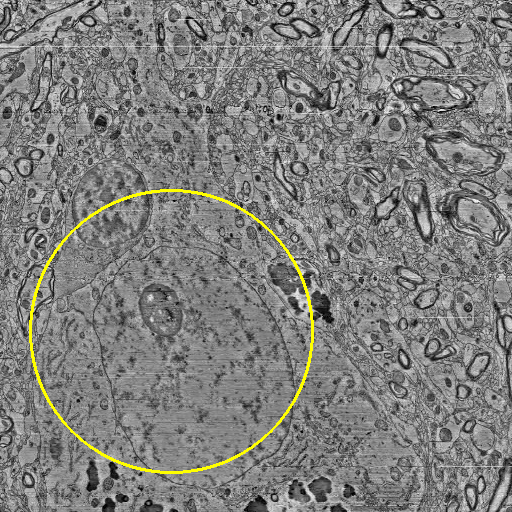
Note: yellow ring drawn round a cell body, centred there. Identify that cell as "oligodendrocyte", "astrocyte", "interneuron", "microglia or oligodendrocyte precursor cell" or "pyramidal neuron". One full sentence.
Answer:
The cell in the middle of the ring is a pyramidal neuron.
